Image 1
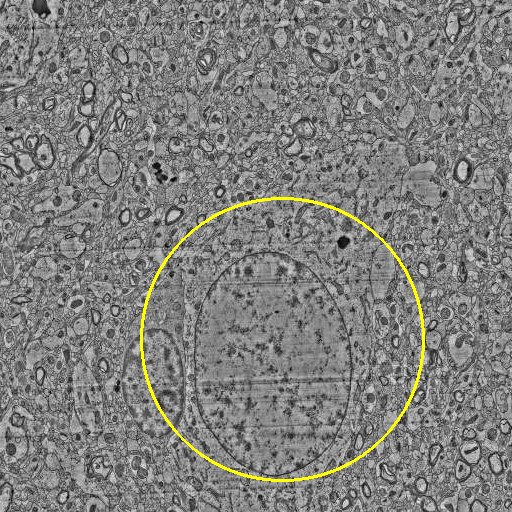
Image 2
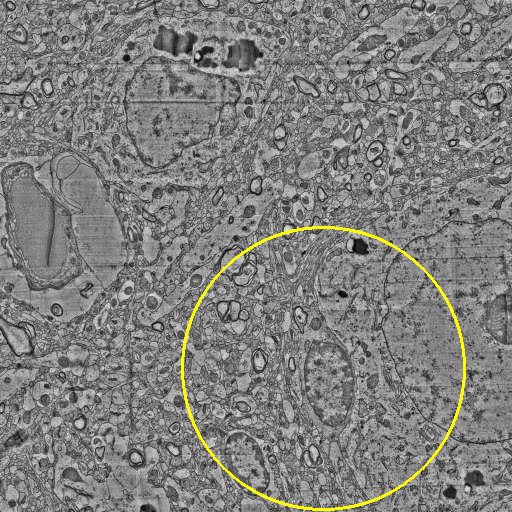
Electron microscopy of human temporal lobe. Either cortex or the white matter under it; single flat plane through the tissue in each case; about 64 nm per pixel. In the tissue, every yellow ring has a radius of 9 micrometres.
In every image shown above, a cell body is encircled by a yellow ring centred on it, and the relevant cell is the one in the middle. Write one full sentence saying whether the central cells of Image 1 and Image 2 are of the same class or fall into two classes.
The cell at the ring's centre in Image 1 and its counterpart in Image 2 fall into two classes.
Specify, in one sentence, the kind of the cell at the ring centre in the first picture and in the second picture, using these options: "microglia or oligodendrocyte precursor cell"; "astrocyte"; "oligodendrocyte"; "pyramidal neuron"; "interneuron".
So the first is a pyramidal neuron, the second an oligodendrocyte.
